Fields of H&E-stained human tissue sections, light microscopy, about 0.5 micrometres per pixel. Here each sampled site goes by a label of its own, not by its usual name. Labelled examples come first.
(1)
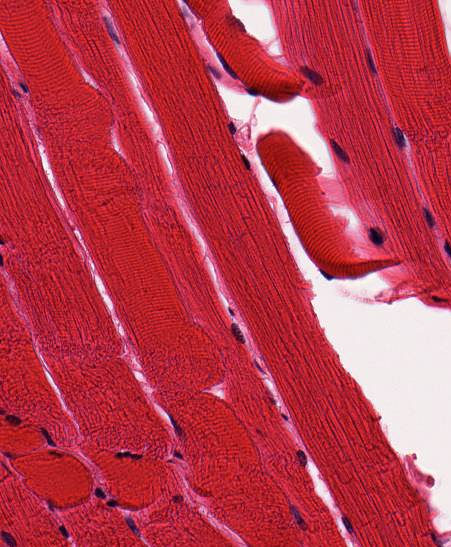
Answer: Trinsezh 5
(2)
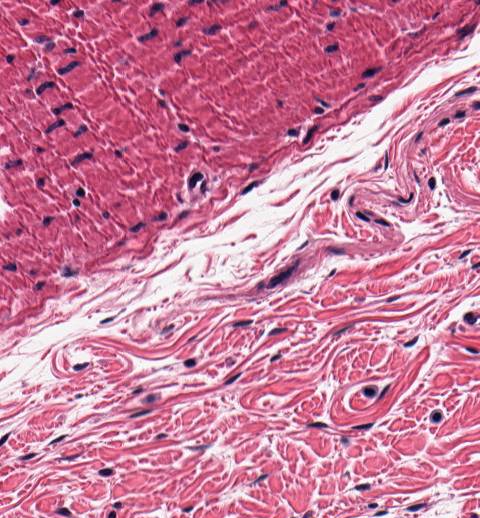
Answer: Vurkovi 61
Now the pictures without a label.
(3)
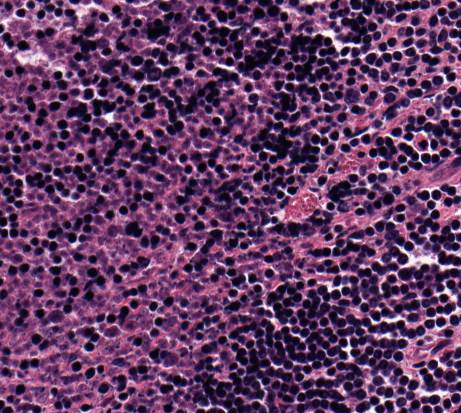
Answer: Vurkovi 61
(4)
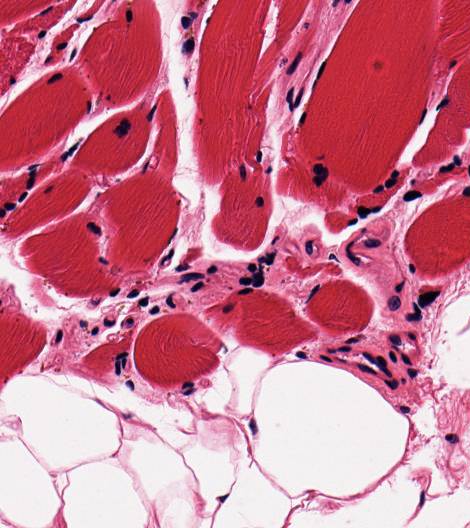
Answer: Trinsezh 5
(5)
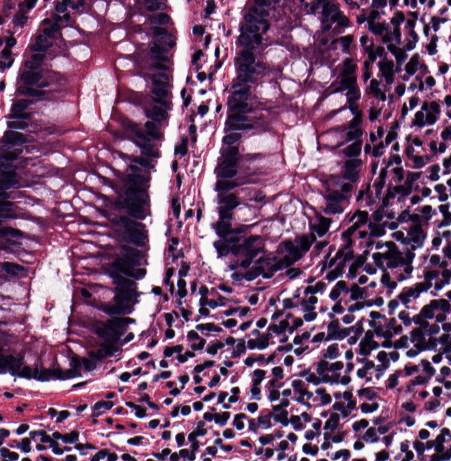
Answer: Vurkovi 61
